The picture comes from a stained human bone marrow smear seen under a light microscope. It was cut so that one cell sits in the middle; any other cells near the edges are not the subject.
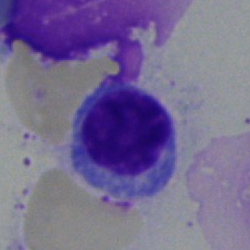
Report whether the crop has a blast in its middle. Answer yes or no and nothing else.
no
